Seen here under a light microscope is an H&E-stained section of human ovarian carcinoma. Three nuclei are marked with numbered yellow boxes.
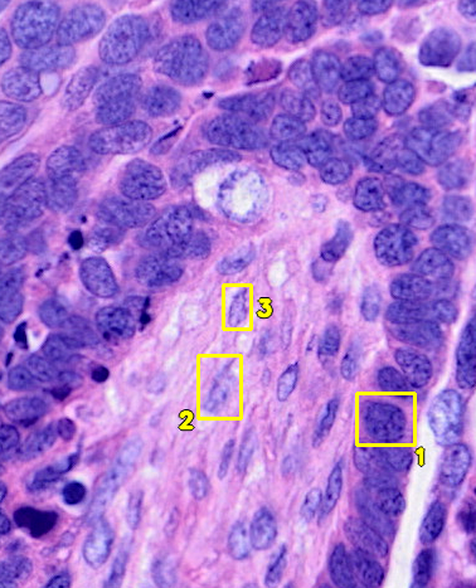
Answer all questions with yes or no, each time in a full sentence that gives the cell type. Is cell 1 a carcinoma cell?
Yes, the cell labelled with number 1 is a carcinoma cell.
